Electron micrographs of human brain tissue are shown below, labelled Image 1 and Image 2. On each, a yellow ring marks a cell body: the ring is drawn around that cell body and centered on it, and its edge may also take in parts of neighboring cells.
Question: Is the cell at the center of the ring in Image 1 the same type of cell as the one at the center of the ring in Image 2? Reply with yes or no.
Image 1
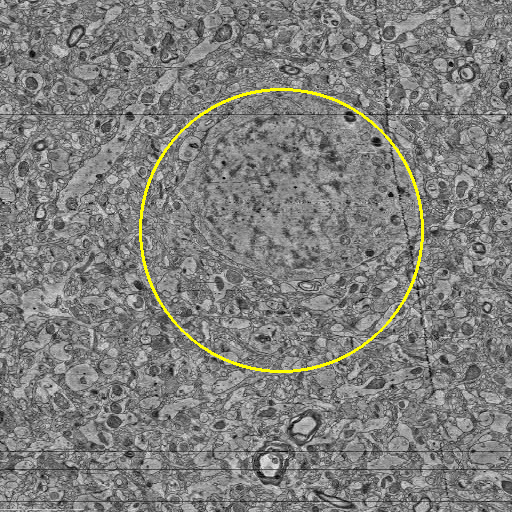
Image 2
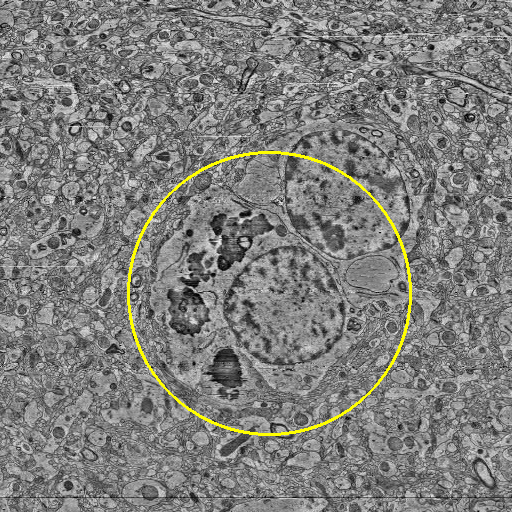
no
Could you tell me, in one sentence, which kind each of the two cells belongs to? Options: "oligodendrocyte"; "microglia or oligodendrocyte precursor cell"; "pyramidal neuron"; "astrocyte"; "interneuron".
At the centre of the first ring sits an interneuron, and at the centre of the second sits an astrocyte.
